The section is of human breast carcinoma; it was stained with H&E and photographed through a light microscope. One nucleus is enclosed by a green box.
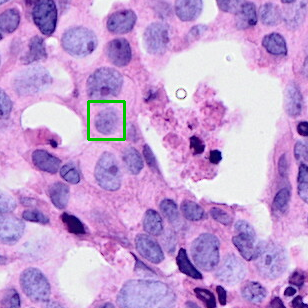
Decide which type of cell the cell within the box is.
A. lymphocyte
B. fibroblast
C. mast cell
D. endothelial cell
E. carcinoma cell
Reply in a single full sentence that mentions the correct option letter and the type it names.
The accurate option is E, with the cell within the box being a carcinoma cell.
